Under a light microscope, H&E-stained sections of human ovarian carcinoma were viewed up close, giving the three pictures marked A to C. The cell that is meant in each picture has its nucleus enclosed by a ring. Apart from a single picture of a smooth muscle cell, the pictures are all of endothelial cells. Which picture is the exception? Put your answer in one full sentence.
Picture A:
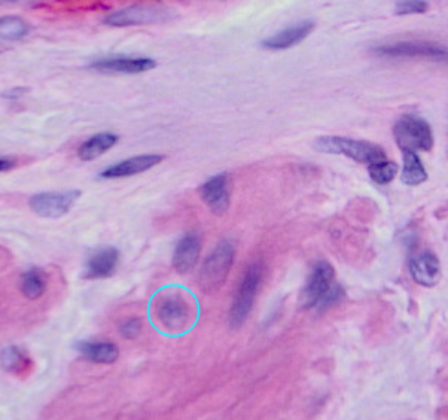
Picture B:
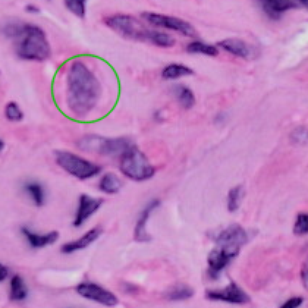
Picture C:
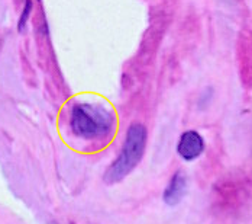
The cell in picture A is the smooth muscle cell.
